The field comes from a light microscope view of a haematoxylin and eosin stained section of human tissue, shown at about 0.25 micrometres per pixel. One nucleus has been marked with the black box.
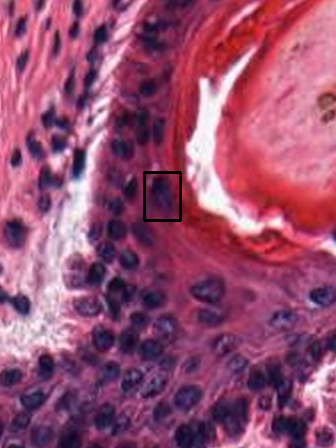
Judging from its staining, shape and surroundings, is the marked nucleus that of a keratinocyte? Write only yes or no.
yes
